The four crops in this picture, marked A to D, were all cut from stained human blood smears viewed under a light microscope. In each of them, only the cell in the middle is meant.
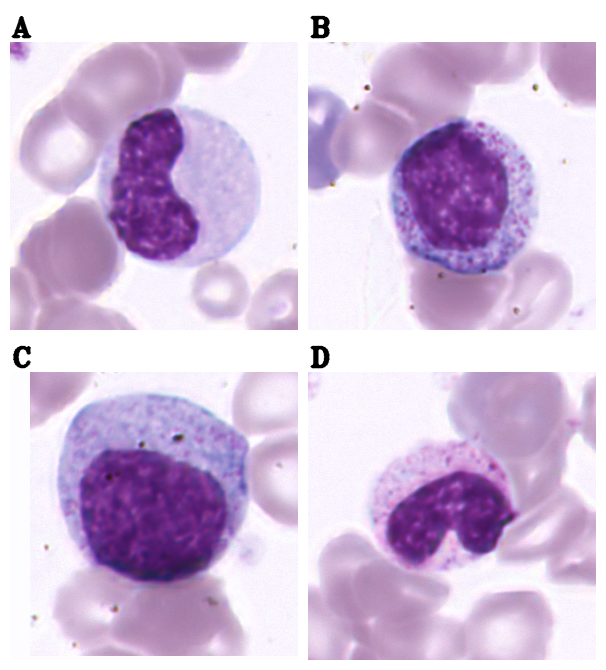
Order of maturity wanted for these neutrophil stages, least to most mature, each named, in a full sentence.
Least to most mature, the crops line up as crop C (a promyelocyte), crop B (a myelocyte), crop A (a metamyelocyte) and crop D (a band neutrophil).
